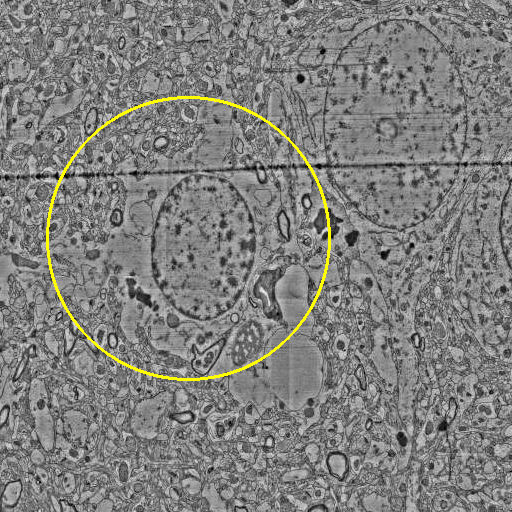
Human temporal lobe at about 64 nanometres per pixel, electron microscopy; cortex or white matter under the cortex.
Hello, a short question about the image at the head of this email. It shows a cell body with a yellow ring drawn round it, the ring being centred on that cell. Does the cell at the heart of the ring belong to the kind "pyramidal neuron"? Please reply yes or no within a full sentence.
No, the cell at the heart of the ring in that image is of a different kind.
